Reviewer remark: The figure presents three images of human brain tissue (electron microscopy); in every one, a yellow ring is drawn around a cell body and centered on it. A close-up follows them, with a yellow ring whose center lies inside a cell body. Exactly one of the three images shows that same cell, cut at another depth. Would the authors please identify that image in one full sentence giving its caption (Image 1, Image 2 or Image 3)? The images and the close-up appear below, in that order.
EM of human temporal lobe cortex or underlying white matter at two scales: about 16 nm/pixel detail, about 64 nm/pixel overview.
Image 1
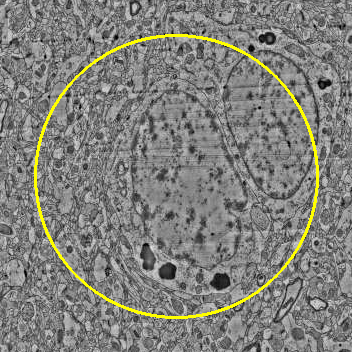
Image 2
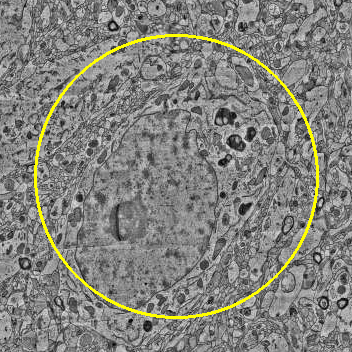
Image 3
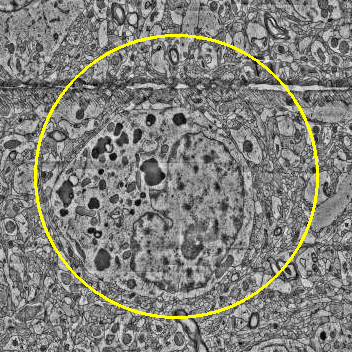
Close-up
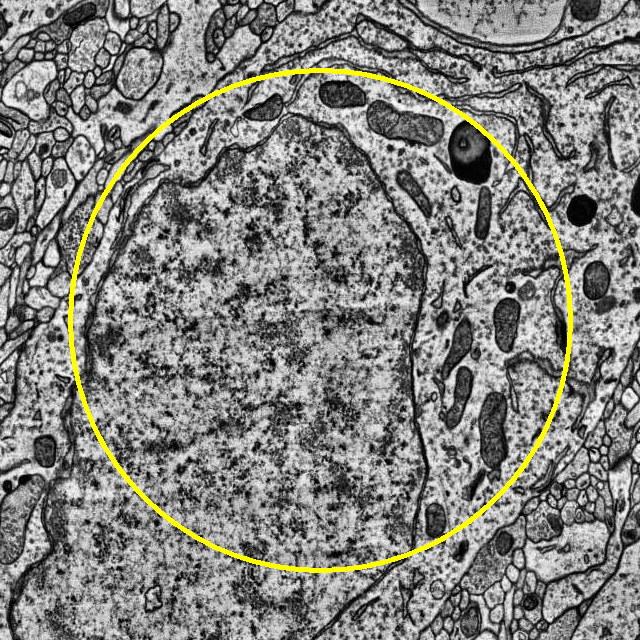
The cell in the zoomed view is the one circled in Image 2.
